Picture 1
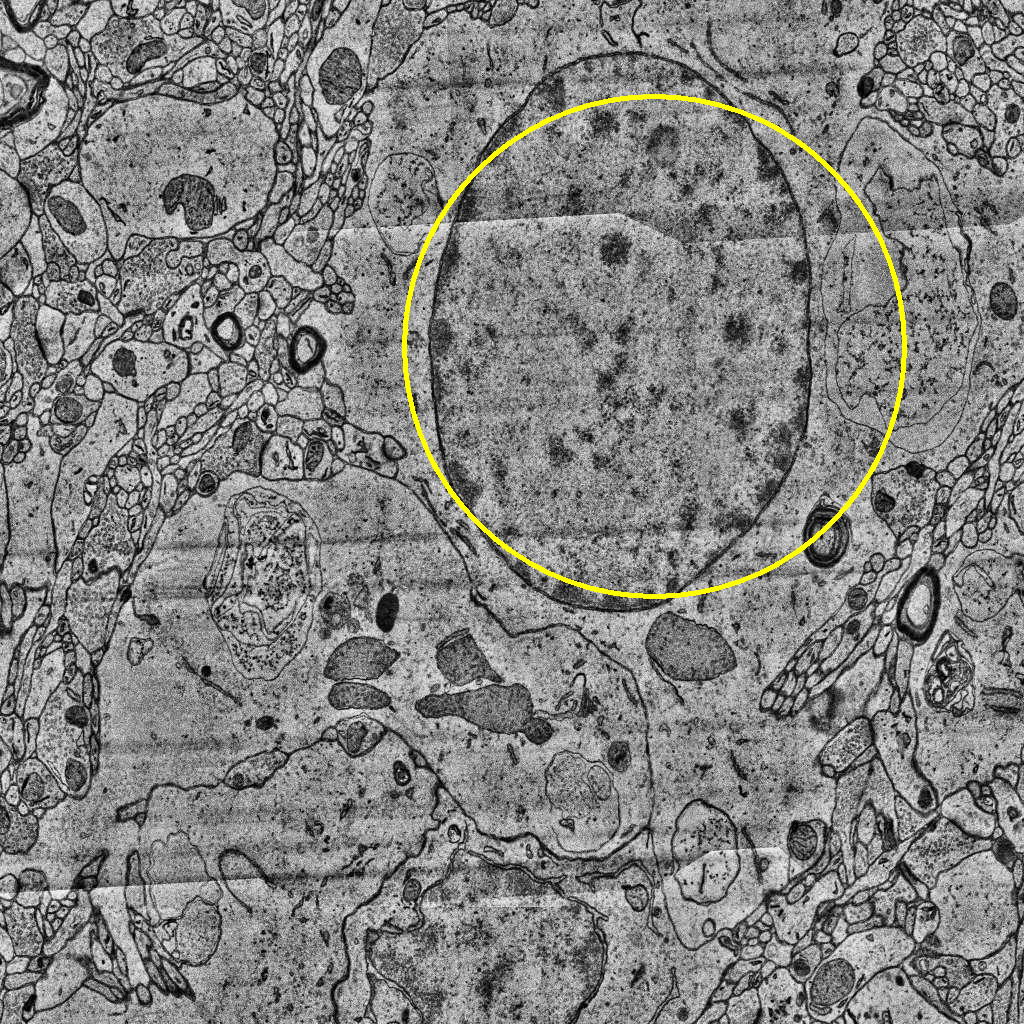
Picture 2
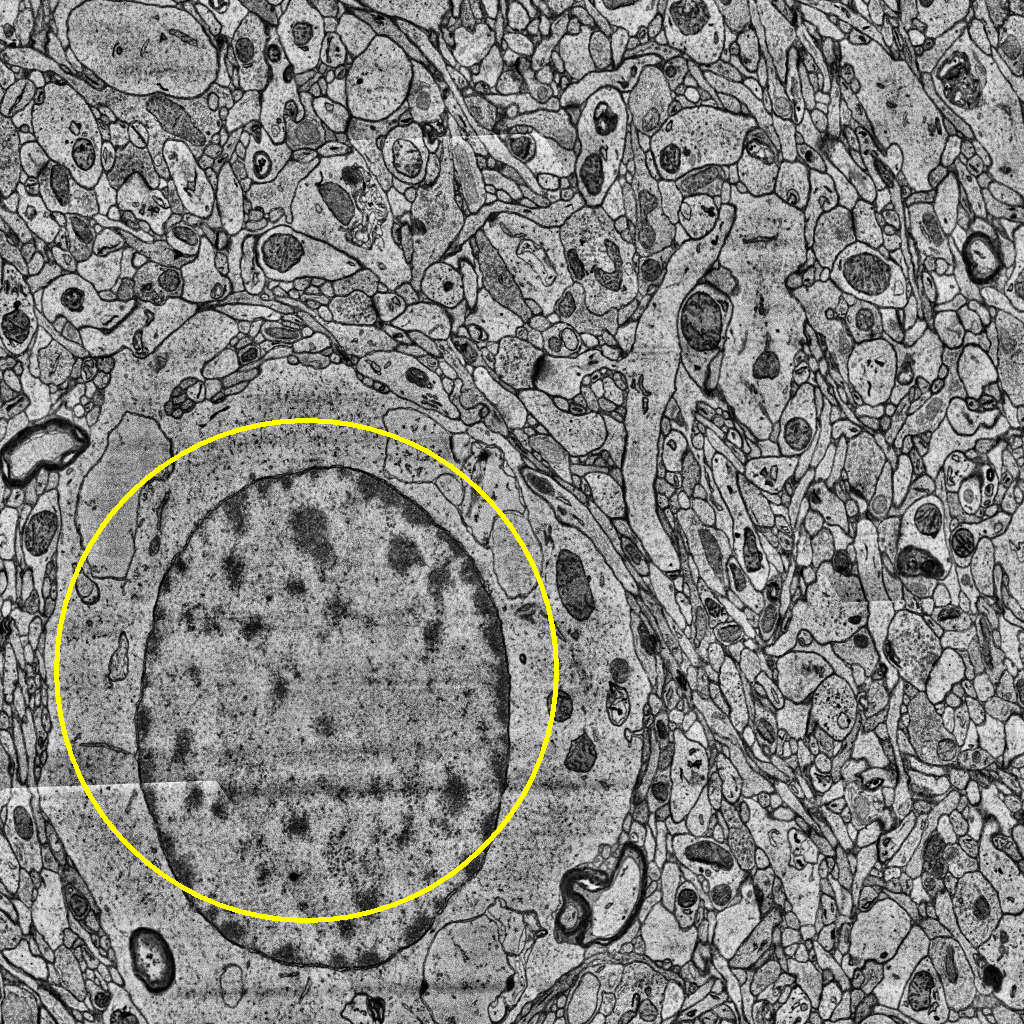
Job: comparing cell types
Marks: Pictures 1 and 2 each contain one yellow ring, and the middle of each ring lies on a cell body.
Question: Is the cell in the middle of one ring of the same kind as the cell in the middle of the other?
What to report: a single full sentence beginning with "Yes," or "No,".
Yes, the cell at the ring centre in Picture 1 and its partner in Picture 2 are of one kind.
